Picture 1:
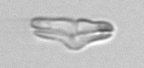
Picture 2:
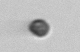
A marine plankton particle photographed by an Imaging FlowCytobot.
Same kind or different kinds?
Different: the first is Karenia papilionacea, the second Gephyrocapsa huxleyi.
